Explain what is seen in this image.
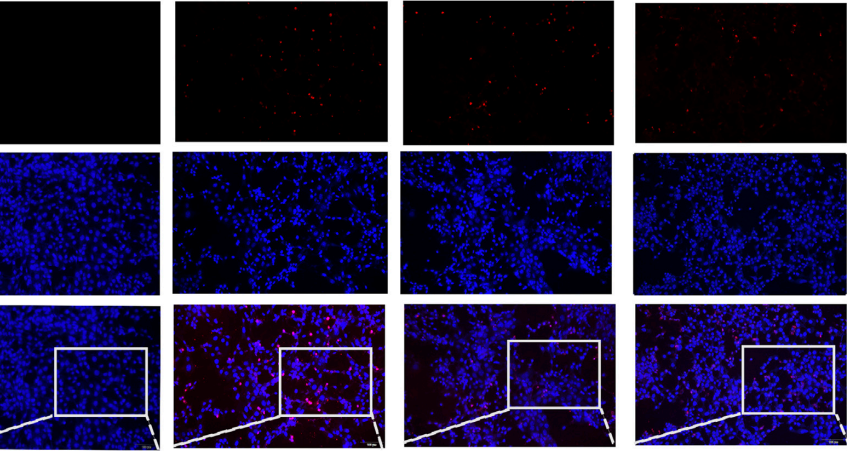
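The blue nuclei are small, round to oval, and densely packed across every field, forming a fairly continuous sheet of cells with some gaps. In the top row, which shows the red channel alone, one field is nearly black, while the others carry scattered fine red points. In the merged images, these red points lie on top of individual blue nuclei, giving them a pink to magenta look.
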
